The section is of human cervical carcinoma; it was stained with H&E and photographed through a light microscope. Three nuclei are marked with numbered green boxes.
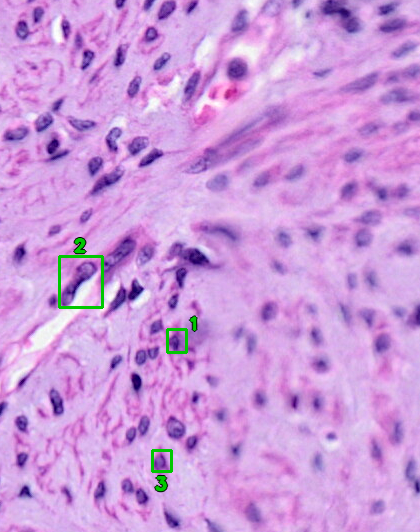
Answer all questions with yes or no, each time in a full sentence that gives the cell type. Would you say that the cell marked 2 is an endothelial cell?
Yes, it checks out; the cell labelled 2 is an endothelial cell.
